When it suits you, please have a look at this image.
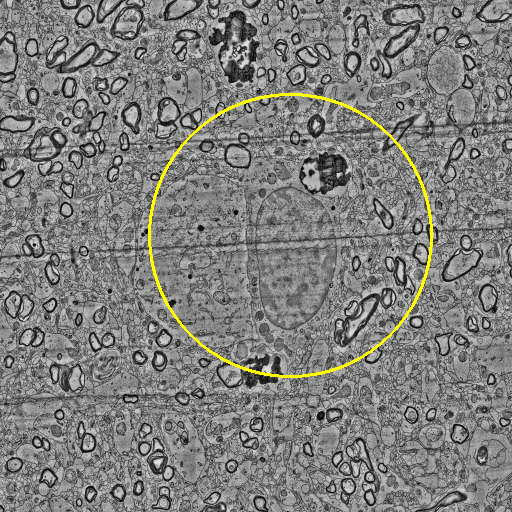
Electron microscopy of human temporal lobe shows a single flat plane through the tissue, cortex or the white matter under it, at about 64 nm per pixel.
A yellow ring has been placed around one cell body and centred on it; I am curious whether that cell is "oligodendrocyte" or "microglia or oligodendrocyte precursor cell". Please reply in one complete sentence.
The ringed cell, an oligodendrocyte, has its body at the centre of the yellow ring.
